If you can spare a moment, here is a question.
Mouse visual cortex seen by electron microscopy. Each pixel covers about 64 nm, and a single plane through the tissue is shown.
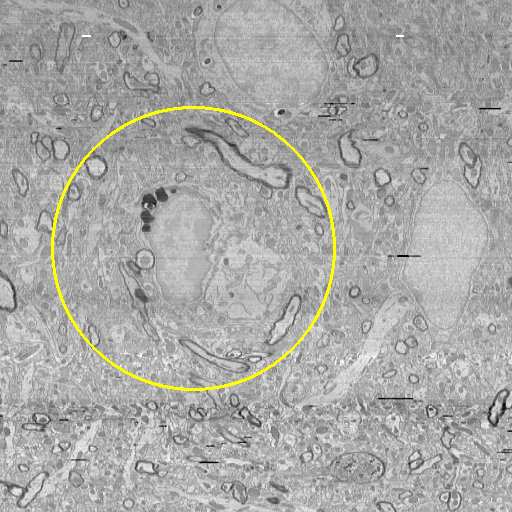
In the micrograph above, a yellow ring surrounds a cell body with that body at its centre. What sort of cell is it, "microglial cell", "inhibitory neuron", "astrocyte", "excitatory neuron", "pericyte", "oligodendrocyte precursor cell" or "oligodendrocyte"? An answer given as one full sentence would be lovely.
Centred inside the yellow ring, the cell body shown belongs to a microglial cell in this micrograph.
